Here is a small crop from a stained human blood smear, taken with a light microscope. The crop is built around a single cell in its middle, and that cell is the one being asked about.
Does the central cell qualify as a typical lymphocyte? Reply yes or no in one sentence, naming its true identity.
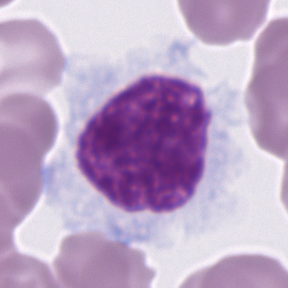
No, the centred cell is a hairy cell instead of a typical lymphocyte.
